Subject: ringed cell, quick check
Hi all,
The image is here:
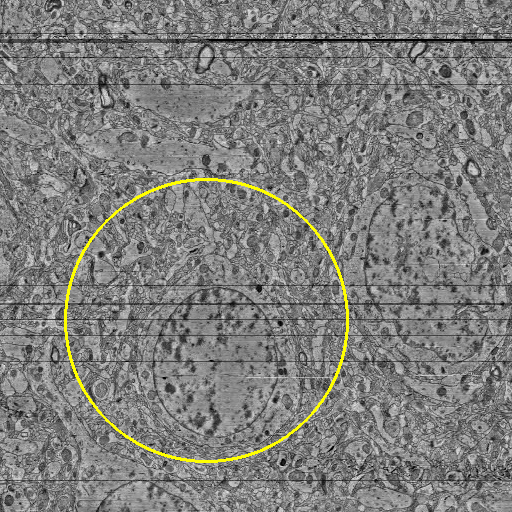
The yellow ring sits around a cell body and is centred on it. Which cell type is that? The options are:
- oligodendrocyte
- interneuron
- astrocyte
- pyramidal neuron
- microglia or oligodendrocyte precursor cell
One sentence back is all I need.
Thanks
That ringed cell is a pyramidal neuron.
